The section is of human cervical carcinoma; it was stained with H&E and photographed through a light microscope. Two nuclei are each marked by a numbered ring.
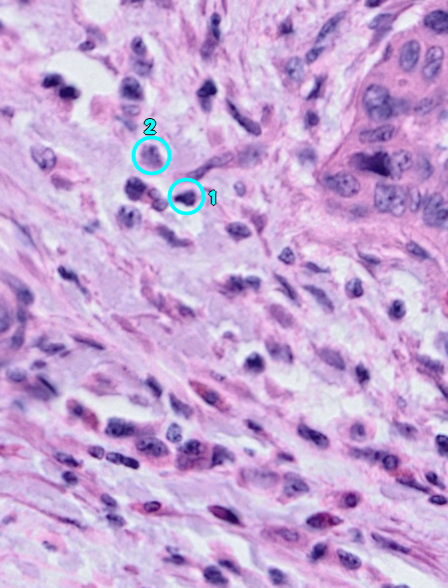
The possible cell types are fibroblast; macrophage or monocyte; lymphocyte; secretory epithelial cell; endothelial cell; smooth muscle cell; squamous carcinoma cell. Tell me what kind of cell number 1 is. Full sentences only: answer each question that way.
The nucleus labelled 1 belongs to a lymphocyte.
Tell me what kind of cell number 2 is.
That cell with number 2 is a macrophage or monocyte.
